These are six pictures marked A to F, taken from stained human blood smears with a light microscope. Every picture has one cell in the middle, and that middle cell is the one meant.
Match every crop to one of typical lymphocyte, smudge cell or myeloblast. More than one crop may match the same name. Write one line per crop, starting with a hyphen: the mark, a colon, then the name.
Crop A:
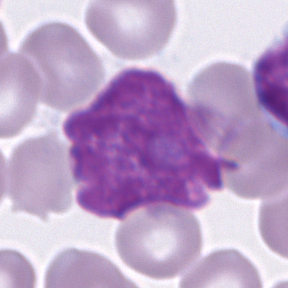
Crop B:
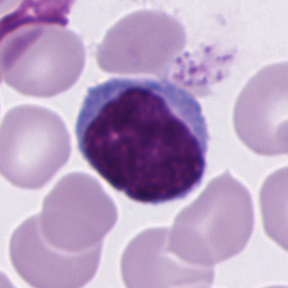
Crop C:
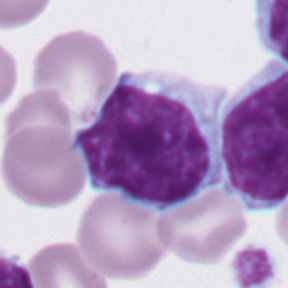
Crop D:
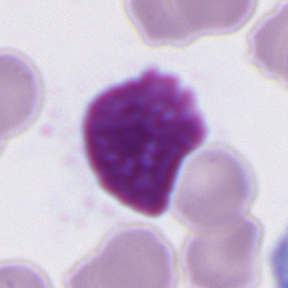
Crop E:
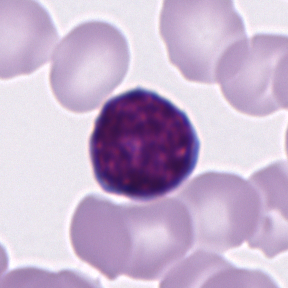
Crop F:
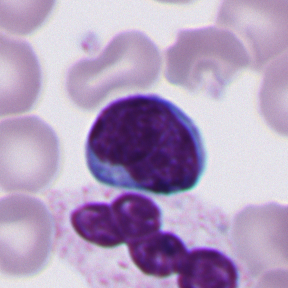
- A: smudge cell
- B: typical lymphocyte
- C: typical lymphocyte
- D: smudge cell
- E: typical lymphocyte
- F: typical lymphocyte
